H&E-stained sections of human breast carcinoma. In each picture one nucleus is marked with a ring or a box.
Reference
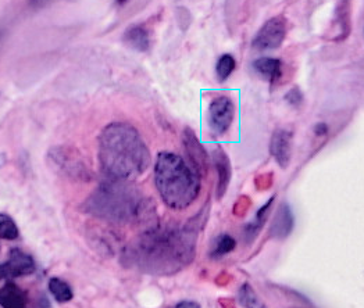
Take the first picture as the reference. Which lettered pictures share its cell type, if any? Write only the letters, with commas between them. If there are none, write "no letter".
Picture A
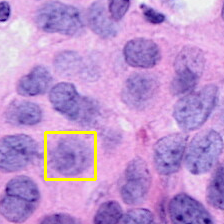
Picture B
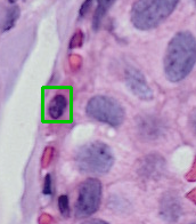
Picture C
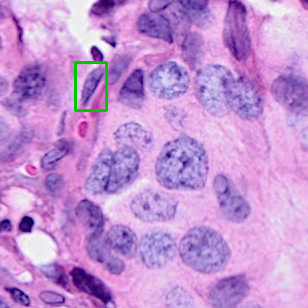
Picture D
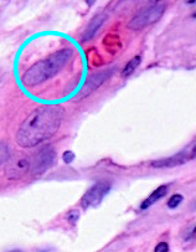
B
